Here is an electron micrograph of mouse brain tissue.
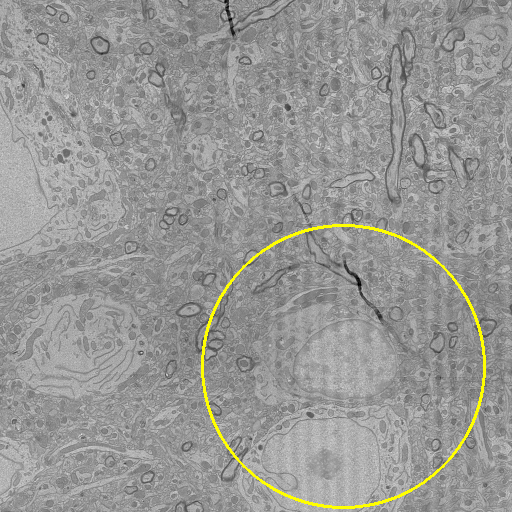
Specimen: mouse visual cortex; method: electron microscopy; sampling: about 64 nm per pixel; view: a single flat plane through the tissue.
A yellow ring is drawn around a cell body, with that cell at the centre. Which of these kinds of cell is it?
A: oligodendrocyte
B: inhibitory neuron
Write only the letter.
A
